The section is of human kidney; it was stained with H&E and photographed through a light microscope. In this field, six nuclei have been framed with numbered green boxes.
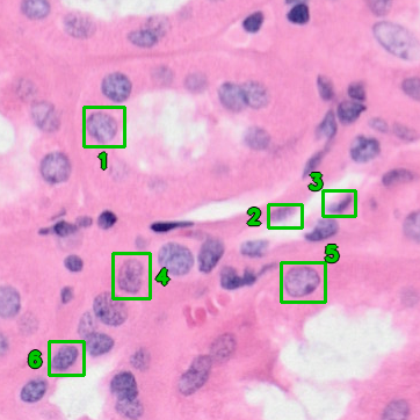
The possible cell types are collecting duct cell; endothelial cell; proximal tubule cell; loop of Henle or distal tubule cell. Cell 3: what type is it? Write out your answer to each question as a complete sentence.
The cell given label 3 is a collecting duct cell.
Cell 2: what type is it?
The cell pointed out as number 2 is a collecting duct cell.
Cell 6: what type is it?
The cell indicated with the number 6 is classed as a collecting duct cell.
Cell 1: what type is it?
The cell that bears the number 1 is a loop of Henle or distal tubule cell.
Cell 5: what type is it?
Marked with the number 5, this cell is a proximal tubule cell.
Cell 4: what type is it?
The correct answer for cell 4 is a collecting duct cell.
